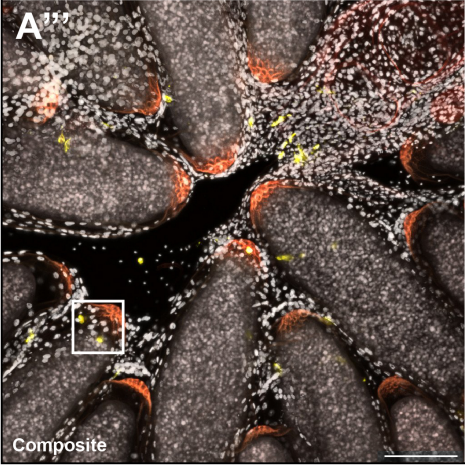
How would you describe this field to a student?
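Ovary tissue at the entrance to the oviduct, where several large elongated oval structures packed with many small white nuclei converge on a dark central space. Small bright yellow cells lie scattered in the tissue between the ovals, and a white box frames one group of them.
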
